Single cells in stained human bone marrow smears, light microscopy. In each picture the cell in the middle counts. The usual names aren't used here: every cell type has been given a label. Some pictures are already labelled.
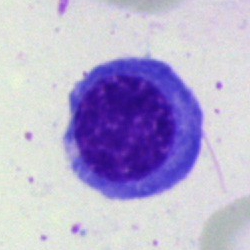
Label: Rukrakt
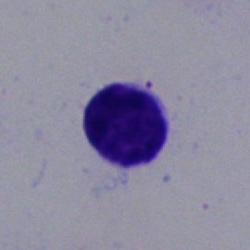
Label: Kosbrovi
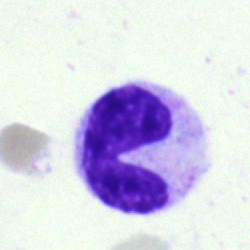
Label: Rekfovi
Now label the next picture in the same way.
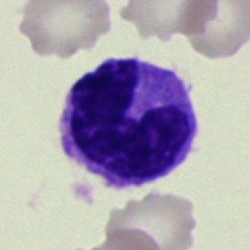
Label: Rekfovi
